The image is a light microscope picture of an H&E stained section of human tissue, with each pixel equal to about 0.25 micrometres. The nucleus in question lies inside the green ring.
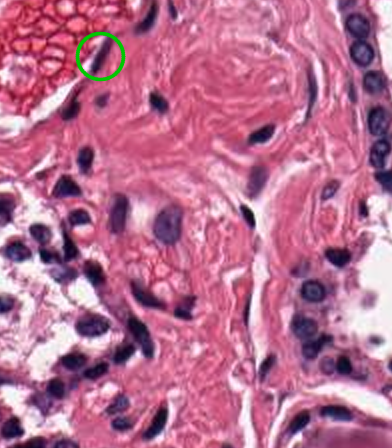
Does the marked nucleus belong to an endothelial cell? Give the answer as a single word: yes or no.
yes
